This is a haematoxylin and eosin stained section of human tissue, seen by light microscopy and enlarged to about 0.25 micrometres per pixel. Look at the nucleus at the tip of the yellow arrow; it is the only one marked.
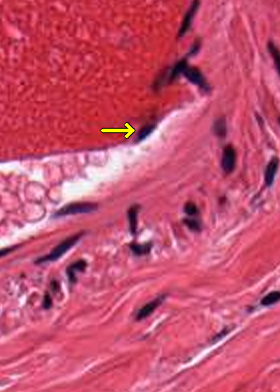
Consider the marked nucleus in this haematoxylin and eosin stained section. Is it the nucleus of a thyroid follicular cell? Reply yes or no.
no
